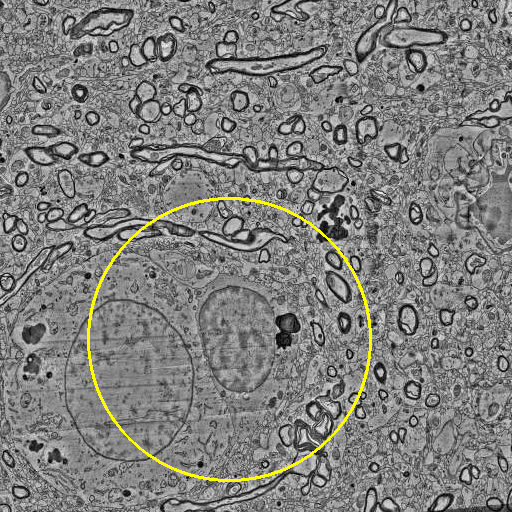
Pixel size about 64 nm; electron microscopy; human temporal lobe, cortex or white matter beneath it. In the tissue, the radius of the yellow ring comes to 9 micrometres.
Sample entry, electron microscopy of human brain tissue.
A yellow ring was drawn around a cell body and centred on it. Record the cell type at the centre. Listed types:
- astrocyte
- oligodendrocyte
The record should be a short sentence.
The cell at the ring's centre is an oligodendrocyte.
